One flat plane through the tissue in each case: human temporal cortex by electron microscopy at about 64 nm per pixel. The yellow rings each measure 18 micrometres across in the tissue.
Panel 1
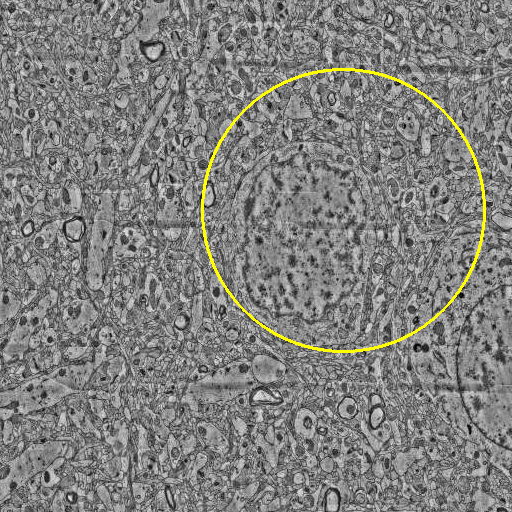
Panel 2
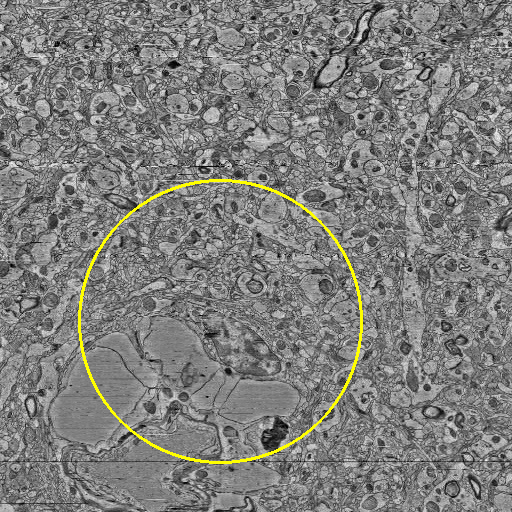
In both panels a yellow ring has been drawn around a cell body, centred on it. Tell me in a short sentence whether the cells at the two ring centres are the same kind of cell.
No, they are two kinds of cell.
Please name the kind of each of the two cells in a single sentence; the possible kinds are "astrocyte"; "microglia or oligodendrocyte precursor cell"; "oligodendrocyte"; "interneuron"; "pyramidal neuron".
In the first picture the ring is centred on an interneuron, and in the second on a microglial cell or oligodendrocyte precursor cell.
